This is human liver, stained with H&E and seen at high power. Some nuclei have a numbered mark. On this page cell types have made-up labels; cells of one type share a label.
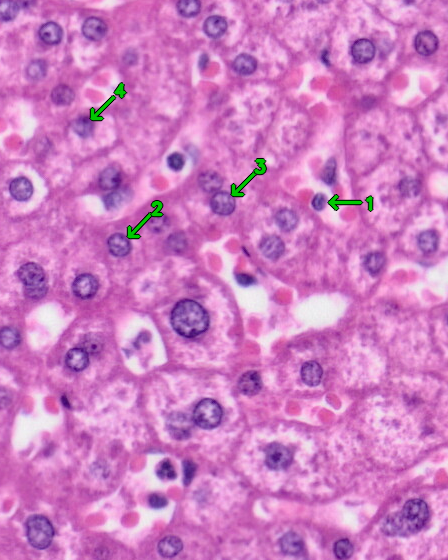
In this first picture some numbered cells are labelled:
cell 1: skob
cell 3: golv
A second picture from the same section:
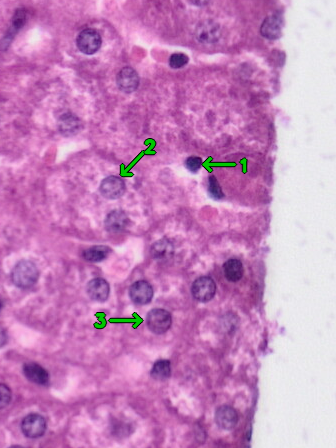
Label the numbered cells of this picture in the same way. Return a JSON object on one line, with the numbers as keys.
{"1": "skob", "2": "golv", "3": "golv"}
